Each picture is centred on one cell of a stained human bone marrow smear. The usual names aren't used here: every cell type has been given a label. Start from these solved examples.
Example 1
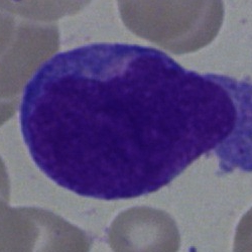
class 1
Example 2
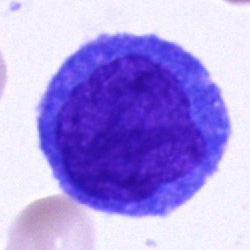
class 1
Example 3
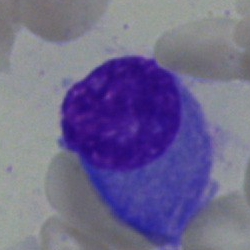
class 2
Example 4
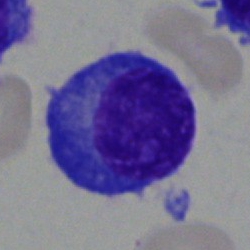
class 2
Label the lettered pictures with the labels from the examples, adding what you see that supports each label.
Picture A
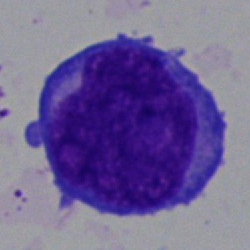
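class 1. Evidence: The chromatin is finely granular rather than clumped into coarse dark blocks.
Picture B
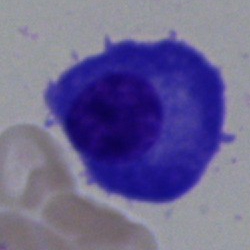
class 2. Evidence: The cytoplasm is abundant and stains a deep blue.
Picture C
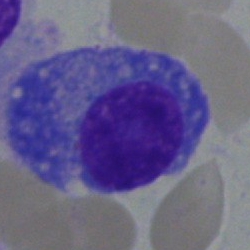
class 2. Evidence: The cytoplasm is abundant and stains a deep blue.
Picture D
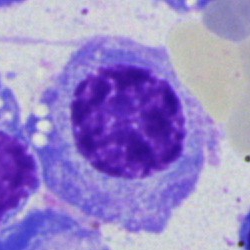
class 2. Evidence: The chromatin forms coarse dark purple clumps separated by paler streaks.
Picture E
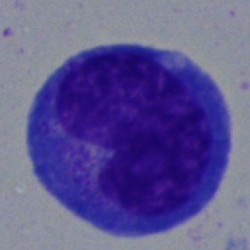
class 1. Evidence: The chromatin is finely textured rather than coarsely clumped.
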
